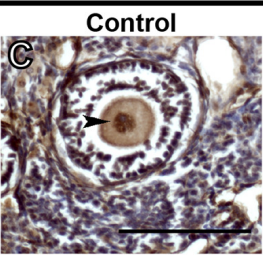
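A growing ovarian follicle is seen in section, with a large round oocyte at its centre. The oocyte cytoplasm is stained light brown and its round nucleus, near the centre, is stained a darker brown. A pale, unstained ring surrounds the oocyte. Outside the follicle is ovarian stroma with scattered spindle-shaped cells and blue nuclei, and parts of neighbouring follicles are visible at the edges.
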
